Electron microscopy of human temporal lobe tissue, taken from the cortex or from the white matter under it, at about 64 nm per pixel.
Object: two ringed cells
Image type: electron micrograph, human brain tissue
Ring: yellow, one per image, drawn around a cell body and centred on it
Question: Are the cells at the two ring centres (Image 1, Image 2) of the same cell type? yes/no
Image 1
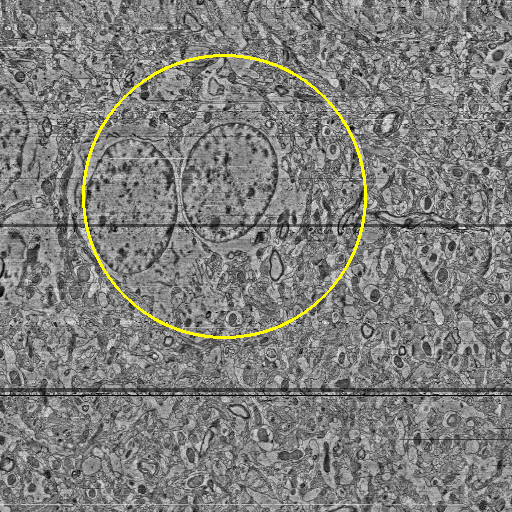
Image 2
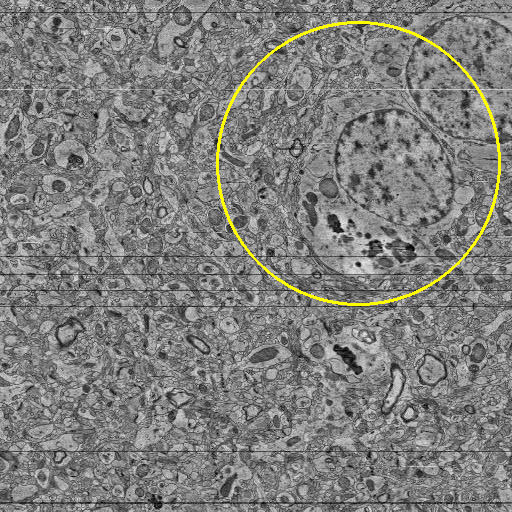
yes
